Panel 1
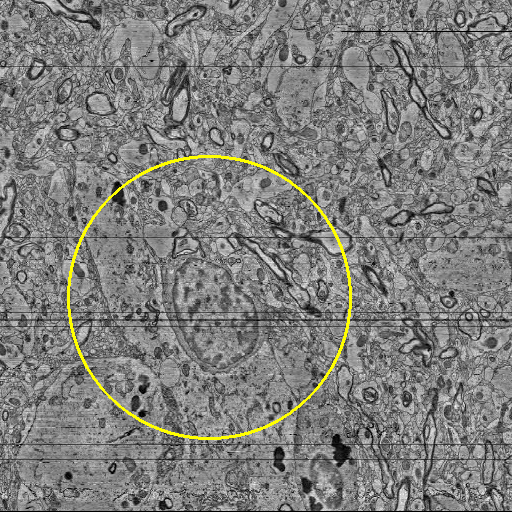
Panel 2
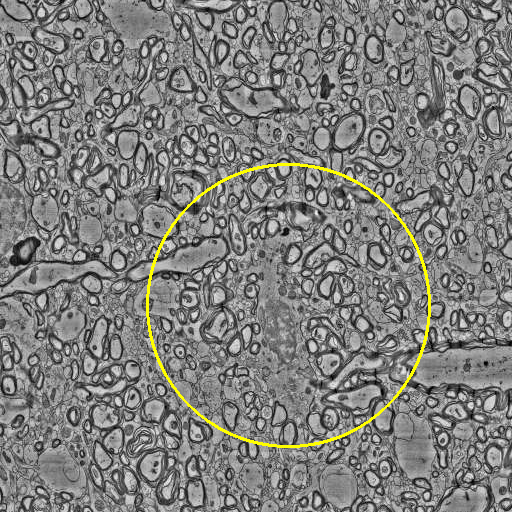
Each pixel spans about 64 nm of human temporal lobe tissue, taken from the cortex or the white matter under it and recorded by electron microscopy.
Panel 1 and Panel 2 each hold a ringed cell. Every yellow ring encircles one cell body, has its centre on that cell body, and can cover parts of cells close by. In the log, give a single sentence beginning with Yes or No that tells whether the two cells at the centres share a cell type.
Yes, in Panel 1 and Panel 2 the centred cells share a cell type.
